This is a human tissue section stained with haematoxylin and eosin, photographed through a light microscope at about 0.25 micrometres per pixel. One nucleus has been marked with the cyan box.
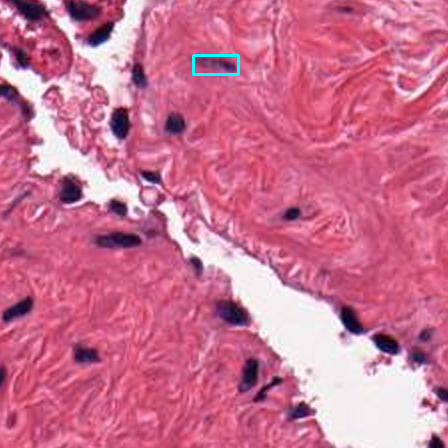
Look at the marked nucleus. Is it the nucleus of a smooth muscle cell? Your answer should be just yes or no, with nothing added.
yes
